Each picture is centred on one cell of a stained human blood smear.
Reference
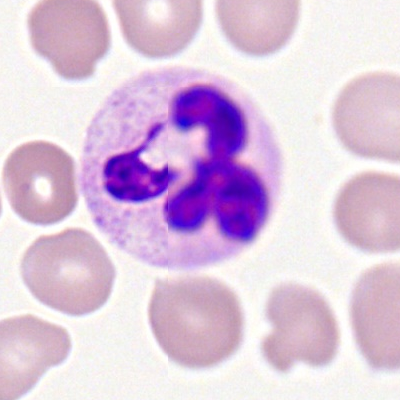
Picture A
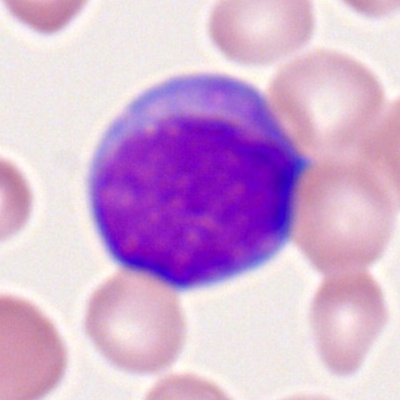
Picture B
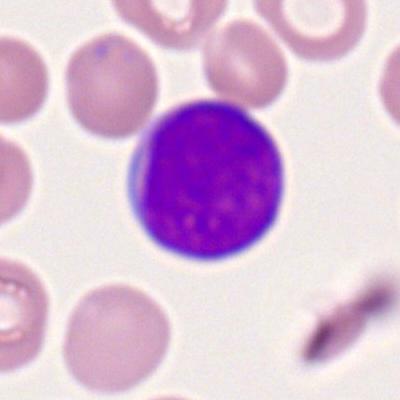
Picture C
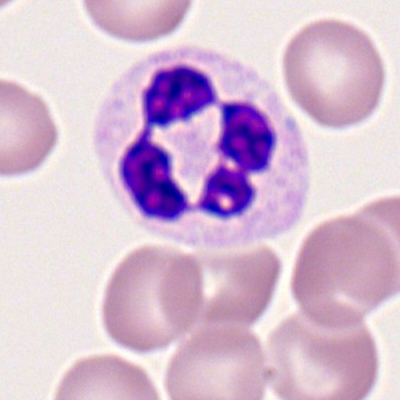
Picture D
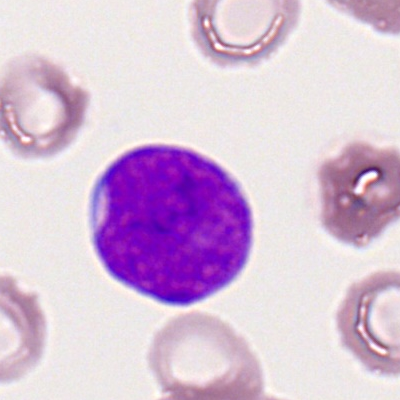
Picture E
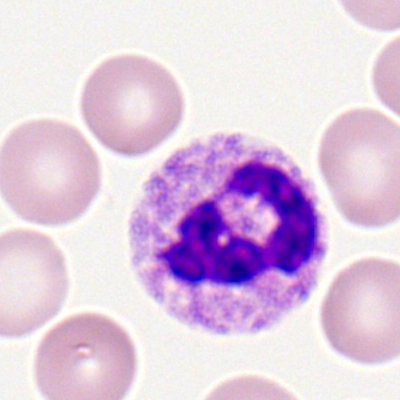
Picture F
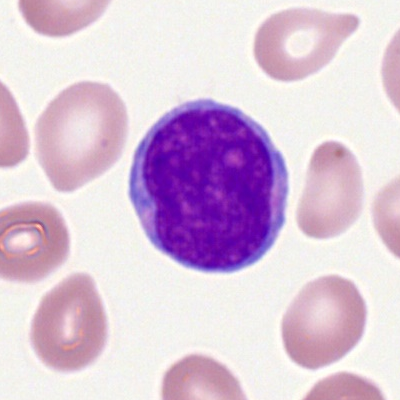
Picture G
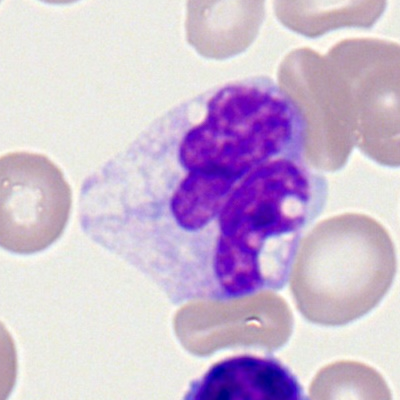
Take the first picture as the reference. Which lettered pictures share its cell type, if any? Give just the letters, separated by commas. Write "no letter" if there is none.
C, E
